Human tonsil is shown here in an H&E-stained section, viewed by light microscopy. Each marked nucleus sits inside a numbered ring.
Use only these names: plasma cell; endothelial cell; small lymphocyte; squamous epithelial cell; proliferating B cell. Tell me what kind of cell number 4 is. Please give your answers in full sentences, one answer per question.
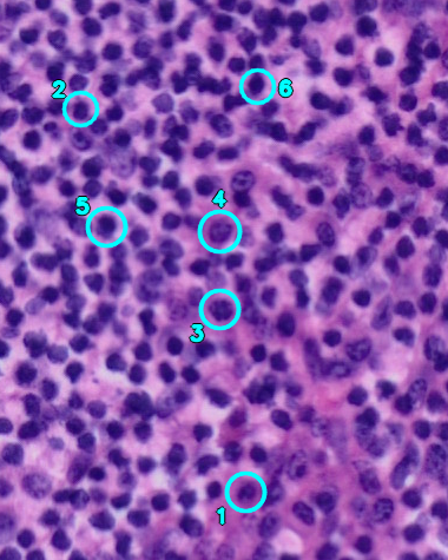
Number 4 is placed on a plasma cell here.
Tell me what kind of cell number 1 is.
Classified as a plasma cell is the cell with the number 1.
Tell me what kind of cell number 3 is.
The nucleus labelled 3 belongs to a plasma cell.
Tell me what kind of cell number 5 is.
What the number 5 marks in this field is a small lymphocyte.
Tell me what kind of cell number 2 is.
The cell bearing label 2 corresponds to a small lymphocyte.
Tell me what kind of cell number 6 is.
Cell 6 in the field is a small lymphocyte.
